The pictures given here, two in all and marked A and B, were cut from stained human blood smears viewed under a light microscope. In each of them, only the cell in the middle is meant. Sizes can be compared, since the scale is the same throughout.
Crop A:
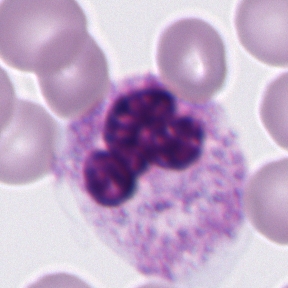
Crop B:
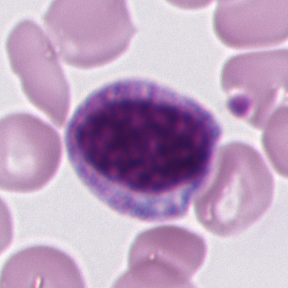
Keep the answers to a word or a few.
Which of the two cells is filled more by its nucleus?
B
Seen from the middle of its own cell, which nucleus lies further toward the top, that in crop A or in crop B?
A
